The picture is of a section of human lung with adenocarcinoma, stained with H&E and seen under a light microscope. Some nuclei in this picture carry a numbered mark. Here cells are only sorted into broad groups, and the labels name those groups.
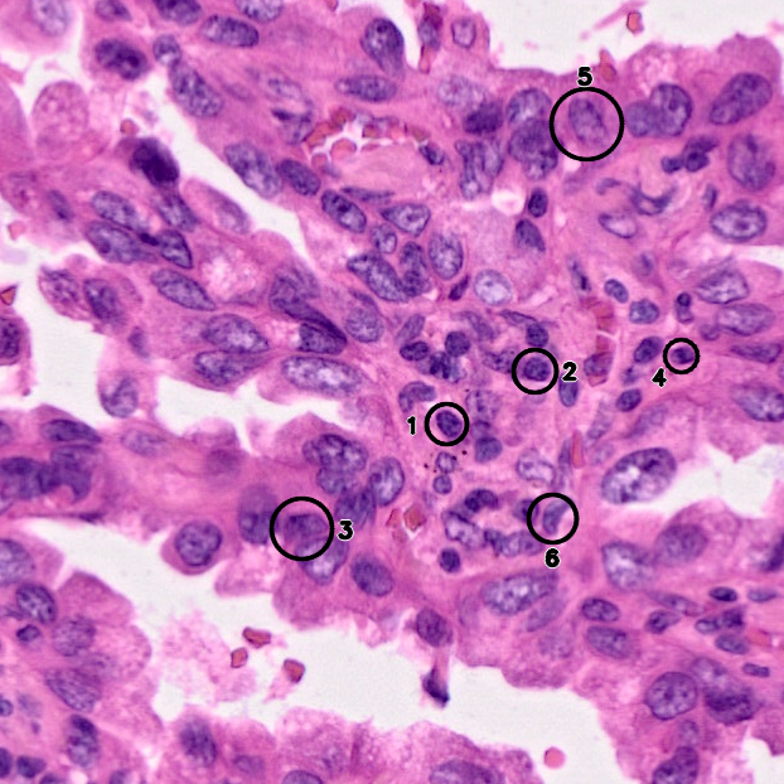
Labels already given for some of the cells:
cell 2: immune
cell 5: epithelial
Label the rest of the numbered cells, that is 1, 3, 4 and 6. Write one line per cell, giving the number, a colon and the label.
1: immune
3: epithelial
4: immune
6: immune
